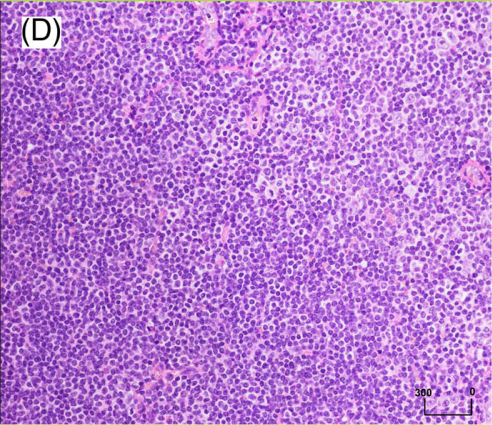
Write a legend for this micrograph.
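Sheet of small lymphocytes filling the field with no residual normal architecture. Cells are densely packed, uniform and round. Nuclei are small, round and darkly stained with little surrounding cytoplasm. A few thin-walled small vessels with pink walls run between the cells. No epithelial structures are seen.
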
